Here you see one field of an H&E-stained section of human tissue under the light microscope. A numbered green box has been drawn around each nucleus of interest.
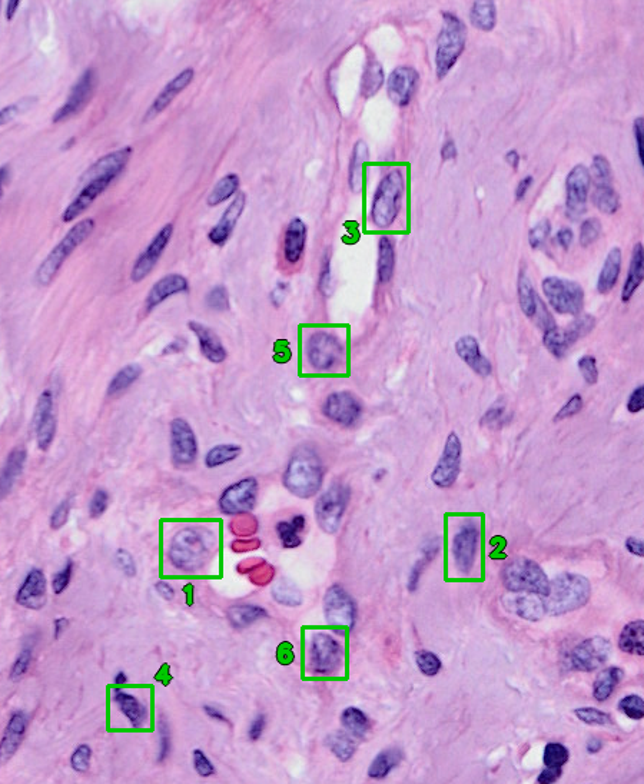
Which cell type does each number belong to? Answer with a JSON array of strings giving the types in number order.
["endothelial cell", "fibroblast", "endothelial cell", "fibroblast", "endothelial cell", "endothelial cell"]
